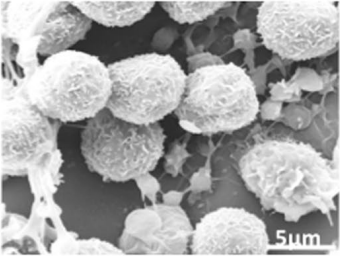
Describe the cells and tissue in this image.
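Several rounded cells, each roughly five micrometres across, lie close together; their surfaces are covered with dense ridges and ruffles, giving a cauliflower-like look. Between and beneath them are smaller, flatter, irregular bodies with short spiky processes, a few of them fanning out on the surface.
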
